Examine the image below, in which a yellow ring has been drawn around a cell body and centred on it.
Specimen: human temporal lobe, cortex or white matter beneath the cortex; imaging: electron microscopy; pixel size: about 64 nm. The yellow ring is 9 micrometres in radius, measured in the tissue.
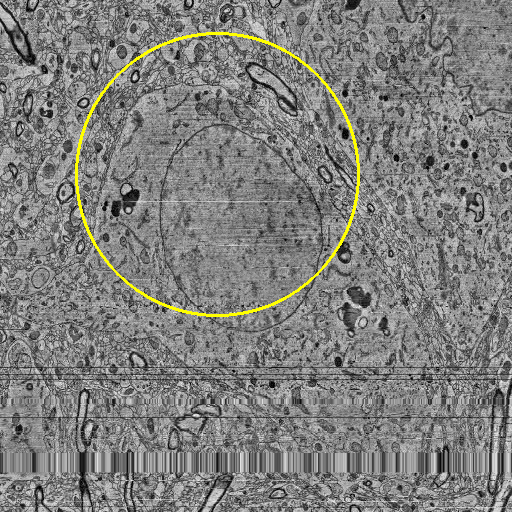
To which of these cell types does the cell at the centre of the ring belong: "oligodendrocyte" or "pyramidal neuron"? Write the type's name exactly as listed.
pyramidal neuron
